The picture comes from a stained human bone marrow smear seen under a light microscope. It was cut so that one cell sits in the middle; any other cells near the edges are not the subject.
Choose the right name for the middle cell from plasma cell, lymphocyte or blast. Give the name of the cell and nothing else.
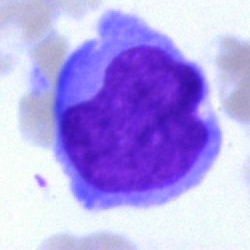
blast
